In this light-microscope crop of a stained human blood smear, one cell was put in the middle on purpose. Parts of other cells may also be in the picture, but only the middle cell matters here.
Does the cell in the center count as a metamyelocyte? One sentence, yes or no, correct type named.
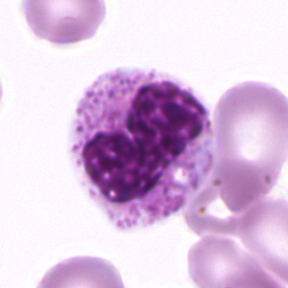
No, the centre cell is not a metamyelocyte but a band neutrophil.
